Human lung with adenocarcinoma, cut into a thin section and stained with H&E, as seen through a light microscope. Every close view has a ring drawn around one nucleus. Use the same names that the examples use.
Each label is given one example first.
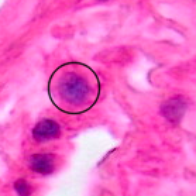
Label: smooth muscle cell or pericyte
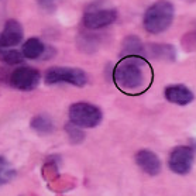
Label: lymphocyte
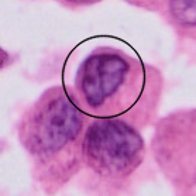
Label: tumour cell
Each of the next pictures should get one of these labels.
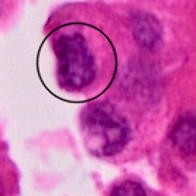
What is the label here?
tumour cell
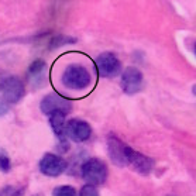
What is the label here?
lymphocyte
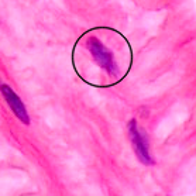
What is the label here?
smooth muscle cell or pericyte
